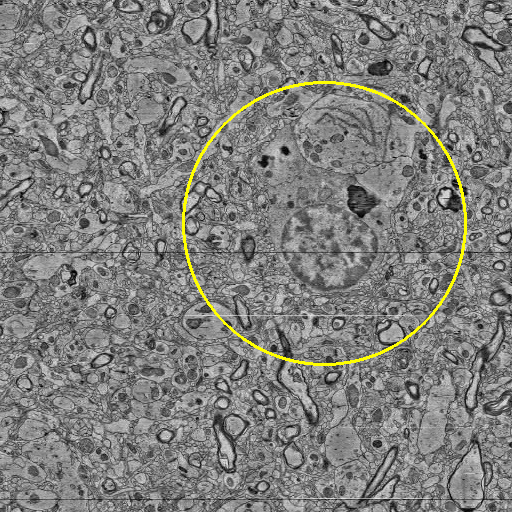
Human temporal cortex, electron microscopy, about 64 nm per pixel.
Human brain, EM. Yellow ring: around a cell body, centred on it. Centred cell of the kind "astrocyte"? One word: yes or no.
no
